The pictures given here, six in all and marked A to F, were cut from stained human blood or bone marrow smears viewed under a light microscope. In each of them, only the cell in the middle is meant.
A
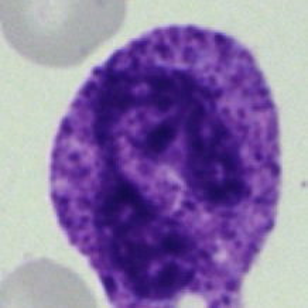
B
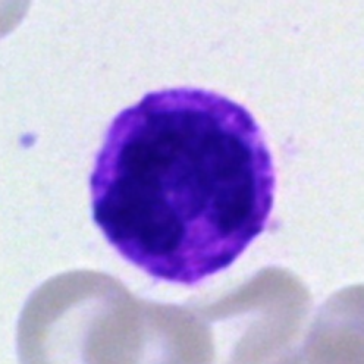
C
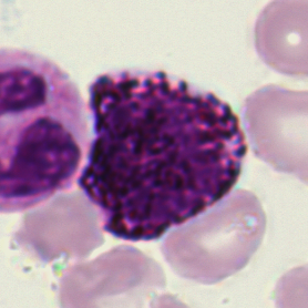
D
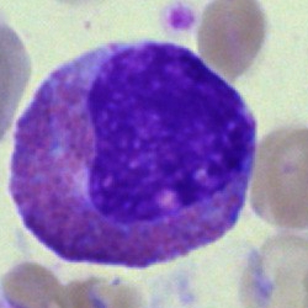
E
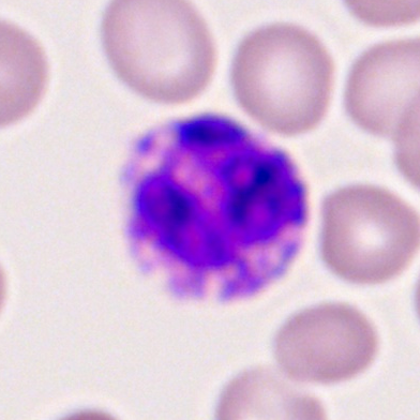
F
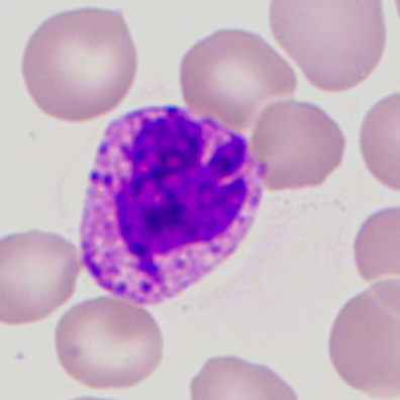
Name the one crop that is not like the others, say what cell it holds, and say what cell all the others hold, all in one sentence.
Among the crops, crop D is unique in showing an eosinophil; the others show basophils.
